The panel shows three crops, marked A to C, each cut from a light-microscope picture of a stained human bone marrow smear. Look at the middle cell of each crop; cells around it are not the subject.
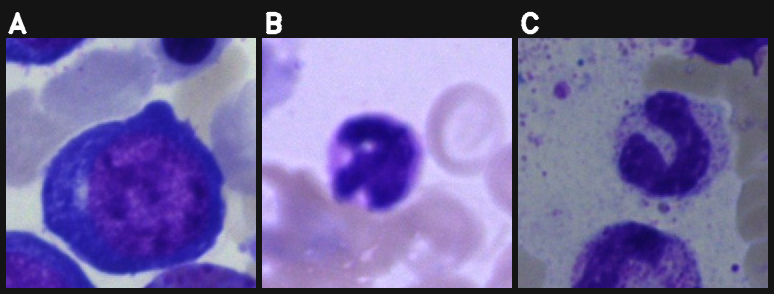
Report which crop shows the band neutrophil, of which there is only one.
C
